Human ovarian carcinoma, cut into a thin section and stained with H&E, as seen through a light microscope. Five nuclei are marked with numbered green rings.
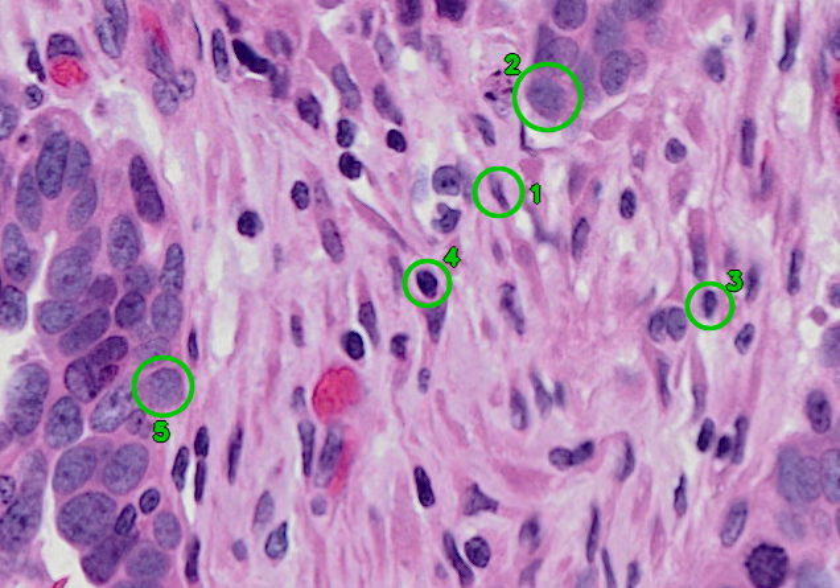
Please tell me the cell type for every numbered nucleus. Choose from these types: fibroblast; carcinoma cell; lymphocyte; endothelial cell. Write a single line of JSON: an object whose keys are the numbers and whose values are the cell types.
{"1": "fibroblast", "2": "carcinoma cell", "3": "lymphocyte", "4": "lymphocyte", "5": "carcinoma cell"}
